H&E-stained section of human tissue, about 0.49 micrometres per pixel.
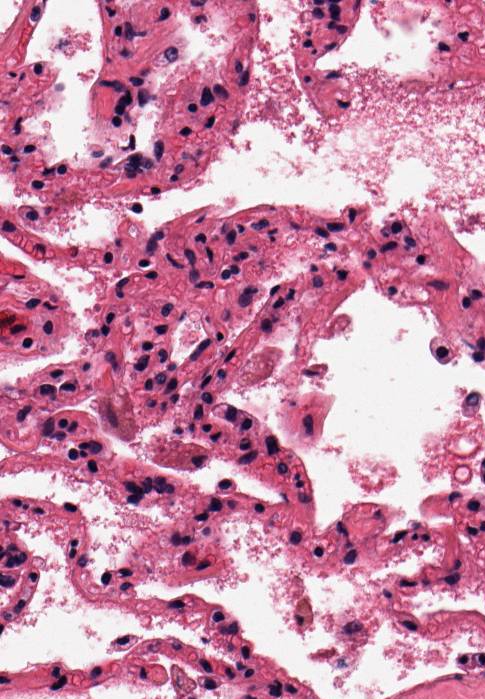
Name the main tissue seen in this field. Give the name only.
alveolus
